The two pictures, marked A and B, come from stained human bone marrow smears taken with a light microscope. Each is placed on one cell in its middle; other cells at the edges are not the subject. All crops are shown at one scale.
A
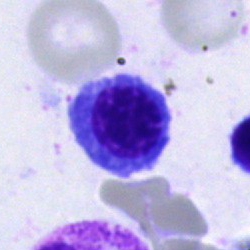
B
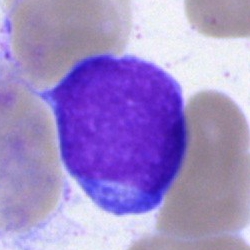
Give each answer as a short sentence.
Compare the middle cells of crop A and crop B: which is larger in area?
It is the cell in crop B, about 2 times as large in area as the cell in crop A.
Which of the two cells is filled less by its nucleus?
In crop A the nucleus takes up the smaller part of its cell.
